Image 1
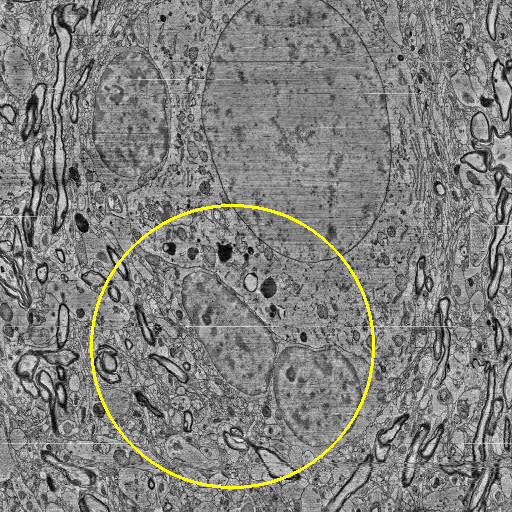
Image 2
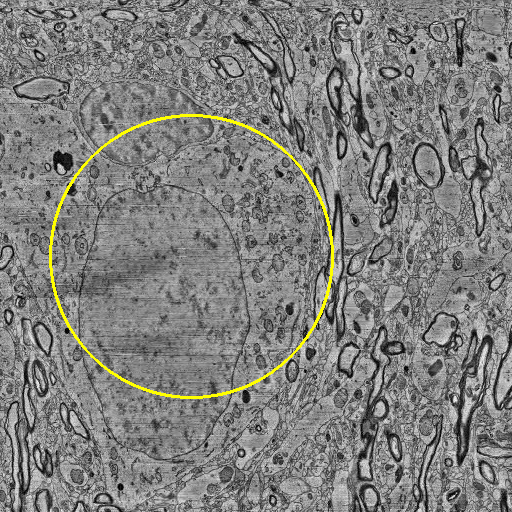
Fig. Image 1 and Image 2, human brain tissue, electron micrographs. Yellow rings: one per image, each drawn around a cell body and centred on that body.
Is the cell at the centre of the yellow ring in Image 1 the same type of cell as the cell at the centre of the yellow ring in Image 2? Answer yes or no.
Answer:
no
